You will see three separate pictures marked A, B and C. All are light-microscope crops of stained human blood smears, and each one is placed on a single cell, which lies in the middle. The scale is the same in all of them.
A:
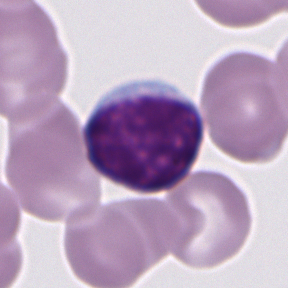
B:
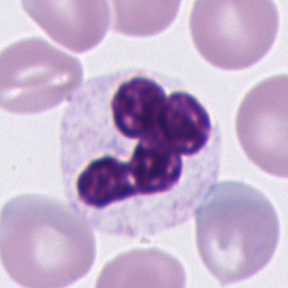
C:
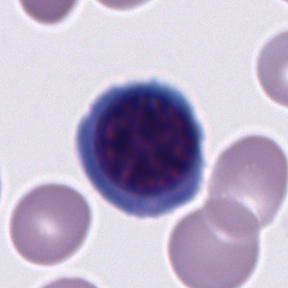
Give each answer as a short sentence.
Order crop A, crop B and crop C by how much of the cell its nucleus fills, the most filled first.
They run A, C, B, the most filled first.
